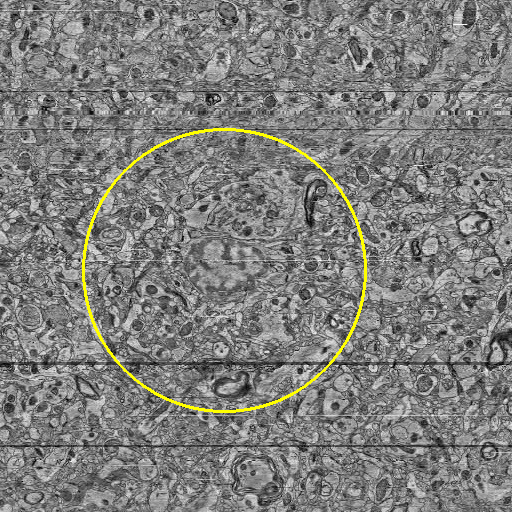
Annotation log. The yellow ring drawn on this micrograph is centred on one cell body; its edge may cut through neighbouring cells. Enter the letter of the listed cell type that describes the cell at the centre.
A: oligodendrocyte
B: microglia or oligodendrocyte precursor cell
A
